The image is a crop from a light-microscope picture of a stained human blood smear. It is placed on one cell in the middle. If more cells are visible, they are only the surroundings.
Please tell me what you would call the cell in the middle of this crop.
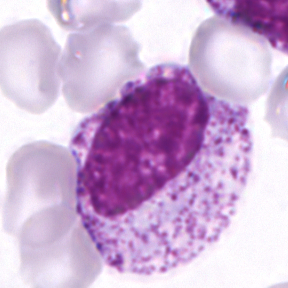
myelocyte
